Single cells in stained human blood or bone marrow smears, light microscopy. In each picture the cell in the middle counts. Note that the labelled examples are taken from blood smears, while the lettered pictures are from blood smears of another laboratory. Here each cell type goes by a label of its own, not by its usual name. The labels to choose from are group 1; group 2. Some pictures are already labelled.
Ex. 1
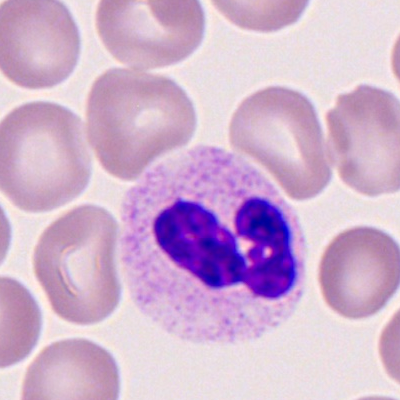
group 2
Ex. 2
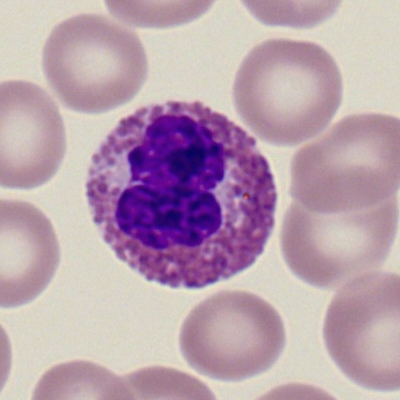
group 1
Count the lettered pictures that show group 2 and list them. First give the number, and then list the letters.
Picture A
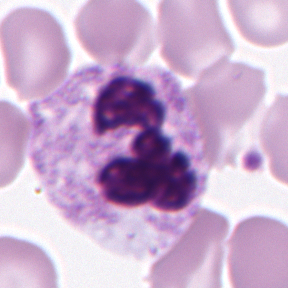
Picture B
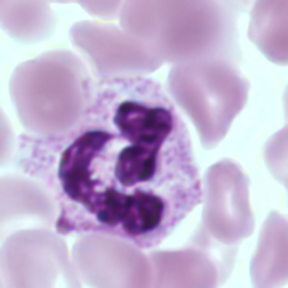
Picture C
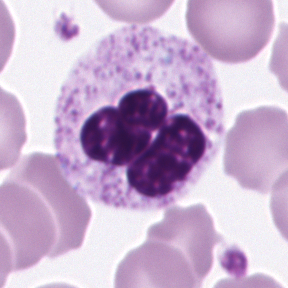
Count: 3 (A, B, C)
